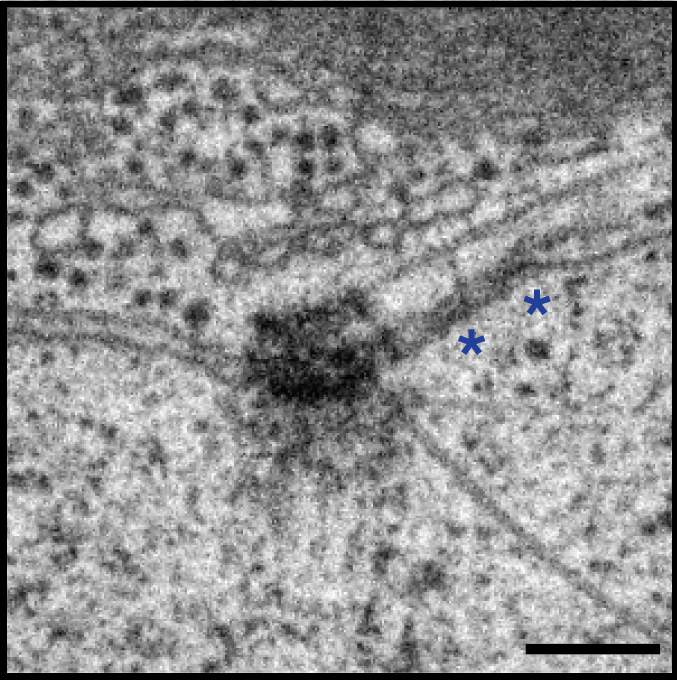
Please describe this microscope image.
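Nuclear envelope with a large, dense microtubule-organizing center set within the envelope itself rather than on its outer face. Membranes of the envelope meet the body on both sides, and fine fibres radiate from it into the nucleus below.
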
